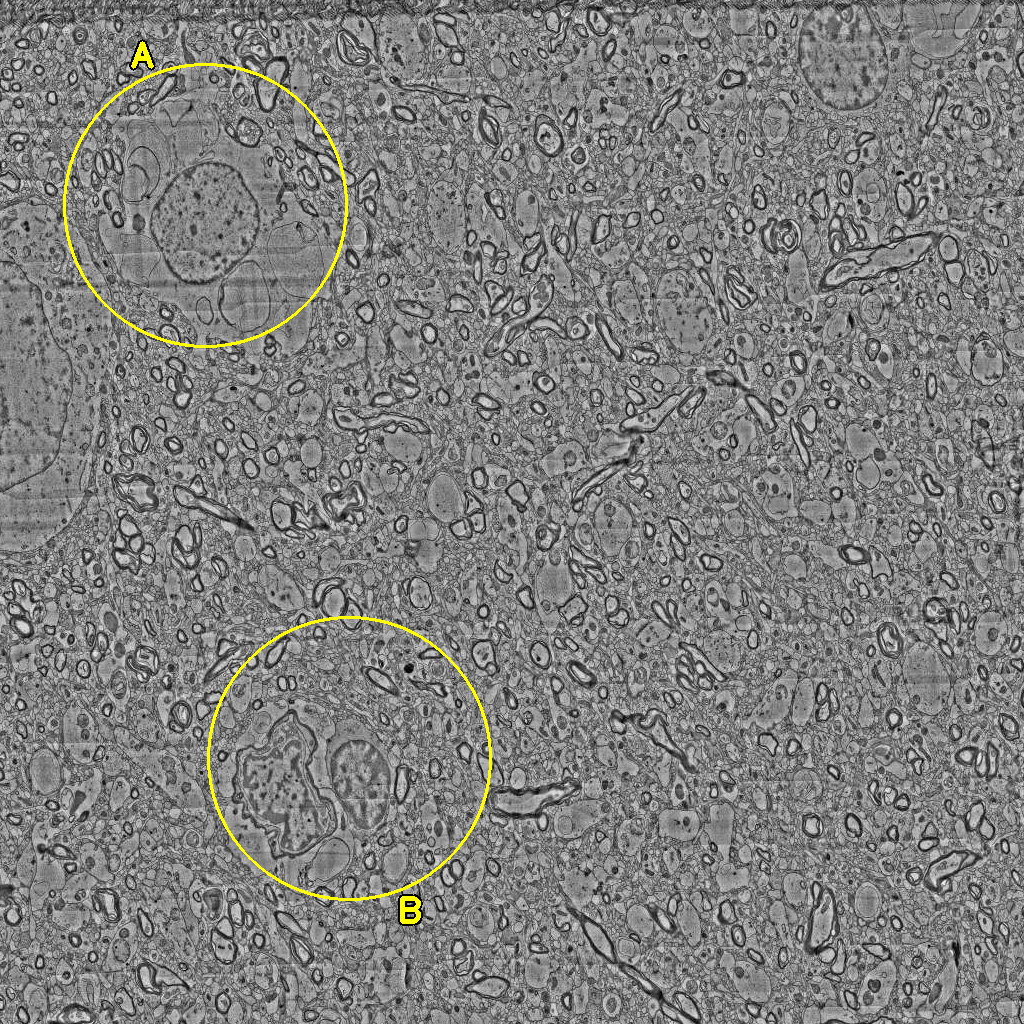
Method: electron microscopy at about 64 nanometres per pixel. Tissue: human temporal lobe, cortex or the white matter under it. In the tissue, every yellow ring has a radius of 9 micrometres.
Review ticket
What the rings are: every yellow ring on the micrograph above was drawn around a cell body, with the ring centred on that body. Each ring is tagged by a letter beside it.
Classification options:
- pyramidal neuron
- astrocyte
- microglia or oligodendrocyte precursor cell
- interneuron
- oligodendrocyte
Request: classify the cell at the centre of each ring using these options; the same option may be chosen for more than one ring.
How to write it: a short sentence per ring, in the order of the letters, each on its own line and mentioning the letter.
The cell centred in ring A is an astrocyte.
The cell centred in ring B is an oligodendrocyte.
